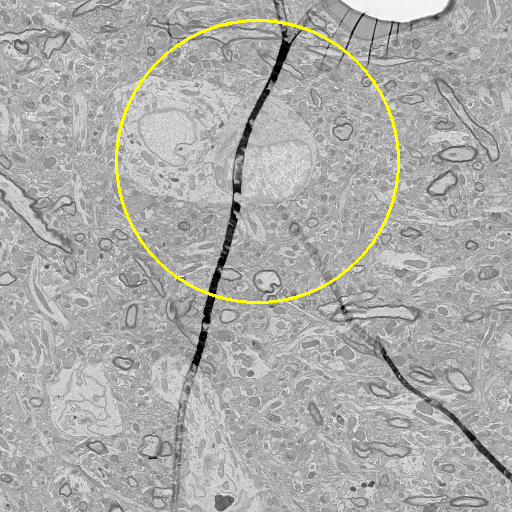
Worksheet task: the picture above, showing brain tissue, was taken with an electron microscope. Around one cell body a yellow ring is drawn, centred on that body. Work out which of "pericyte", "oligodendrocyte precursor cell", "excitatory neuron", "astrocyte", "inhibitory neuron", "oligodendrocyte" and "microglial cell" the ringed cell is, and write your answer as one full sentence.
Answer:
It is an oligodendrocyte whose cell body lies at the centre of the yellow ring.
